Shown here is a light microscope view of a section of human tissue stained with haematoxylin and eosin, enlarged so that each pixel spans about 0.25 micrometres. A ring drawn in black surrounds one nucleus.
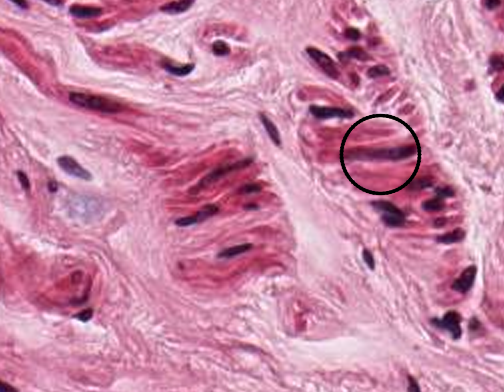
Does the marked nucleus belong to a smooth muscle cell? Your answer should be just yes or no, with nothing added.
yes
